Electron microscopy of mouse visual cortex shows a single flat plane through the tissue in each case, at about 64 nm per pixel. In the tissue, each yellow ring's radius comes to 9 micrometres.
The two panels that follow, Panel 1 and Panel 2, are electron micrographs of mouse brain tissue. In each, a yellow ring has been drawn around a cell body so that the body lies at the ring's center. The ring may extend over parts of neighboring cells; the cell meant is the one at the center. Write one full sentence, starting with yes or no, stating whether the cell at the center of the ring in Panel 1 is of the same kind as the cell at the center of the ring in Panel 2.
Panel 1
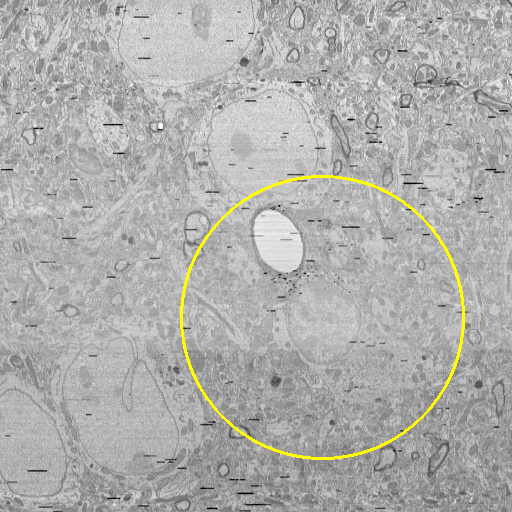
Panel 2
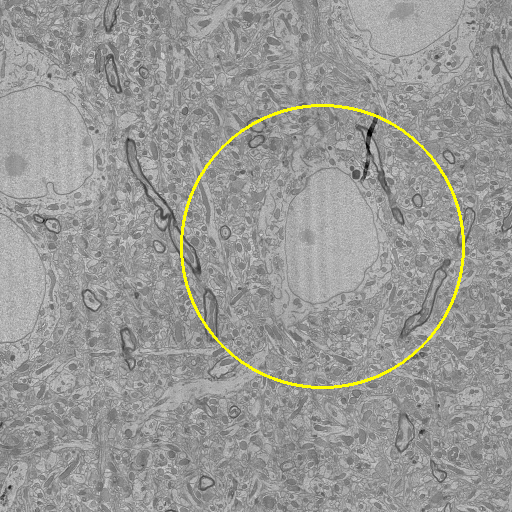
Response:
No, the cells in the two panels are of two kinds.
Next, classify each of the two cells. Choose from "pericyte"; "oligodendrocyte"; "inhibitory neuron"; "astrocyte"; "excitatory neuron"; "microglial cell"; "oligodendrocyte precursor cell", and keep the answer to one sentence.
In the first picture it is an oligodendrocyte; in the second it is an excitatory neuron.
